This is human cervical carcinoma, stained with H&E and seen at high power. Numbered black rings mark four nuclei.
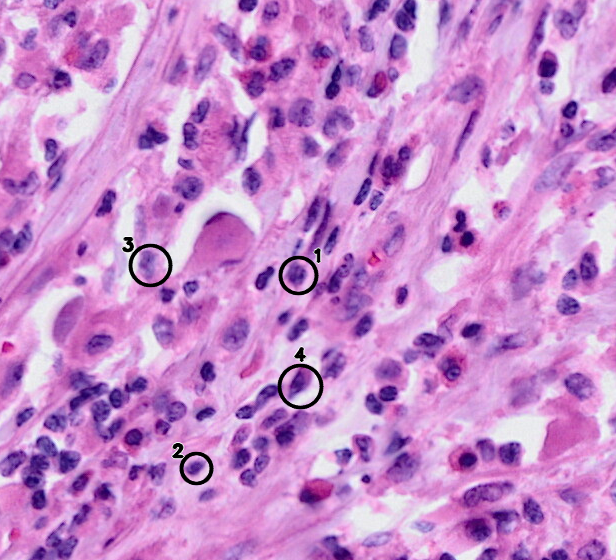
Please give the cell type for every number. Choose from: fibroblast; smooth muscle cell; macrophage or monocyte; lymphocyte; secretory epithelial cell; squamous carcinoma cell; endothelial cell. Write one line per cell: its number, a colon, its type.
1: lymphocyte
2: lymphocyte
3: macrophage or monocyte
4: macrophage or monocyte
